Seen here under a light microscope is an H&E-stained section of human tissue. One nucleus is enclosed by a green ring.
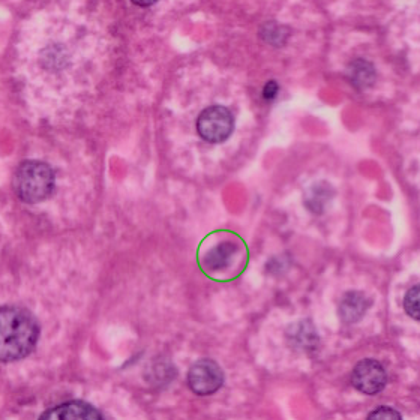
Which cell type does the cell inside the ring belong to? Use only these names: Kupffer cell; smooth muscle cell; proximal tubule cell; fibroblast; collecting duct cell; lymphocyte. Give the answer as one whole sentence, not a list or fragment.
In terms of identity, the cell inside the ring is a Kupffer cell.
